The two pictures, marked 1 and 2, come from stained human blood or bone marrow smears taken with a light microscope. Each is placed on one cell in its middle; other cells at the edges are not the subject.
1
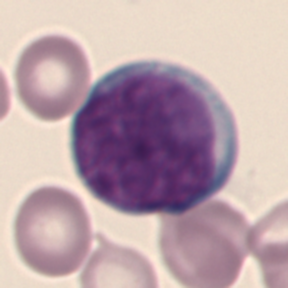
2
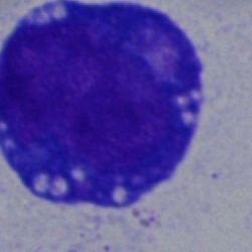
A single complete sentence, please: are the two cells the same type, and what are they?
Yes, both crops contain blasts at their centres.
